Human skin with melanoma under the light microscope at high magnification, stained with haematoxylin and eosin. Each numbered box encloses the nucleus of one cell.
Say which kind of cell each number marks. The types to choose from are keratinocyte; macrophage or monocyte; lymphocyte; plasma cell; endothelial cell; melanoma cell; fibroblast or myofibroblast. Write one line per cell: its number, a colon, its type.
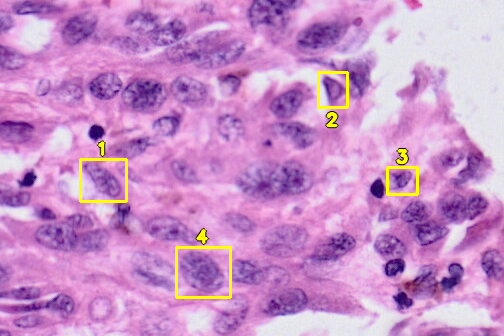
1: melanoma cell
2: melanoma cell
3: macrophage or monocyte
4: melanoma cell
